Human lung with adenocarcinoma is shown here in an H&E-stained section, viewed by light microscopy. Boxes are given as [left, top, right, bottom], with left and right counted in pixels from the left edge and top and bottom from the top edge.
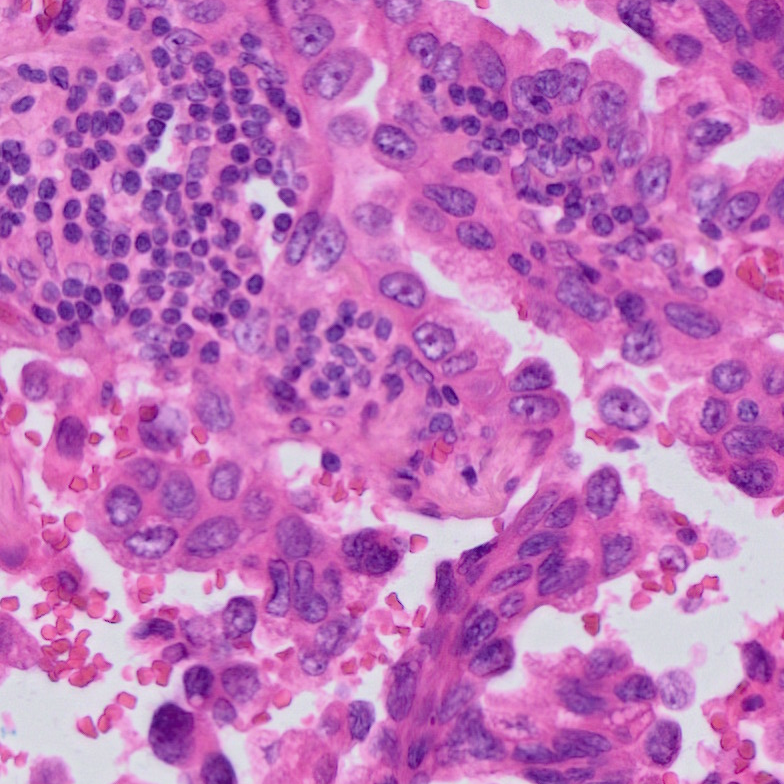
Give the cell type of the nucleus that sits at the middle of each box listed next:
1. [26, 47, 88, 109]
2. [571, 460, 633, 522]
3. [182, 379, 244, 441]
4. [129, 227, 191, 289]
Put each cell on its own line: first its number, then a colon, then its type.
1: lymphocyte
2: carcinoma cell
3: carcinoma cell
4: lymphocyte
